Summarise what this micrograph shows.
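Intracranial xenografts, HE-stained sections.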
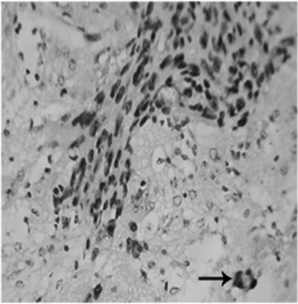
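A dense band of crowded, darkly stained, elongated spindle-shaped nuclei runs obliquely across the field. The cells are aligned in parallel, forming streams. On either side lies pale, finely vacuolated brain tissue. Near the lower edge, a small separate cluster of dark, stained cells sits within the pale tissue, apart from the main stream. Some dark elongated cells also lie singly at the margins of the band, where they thin out into the surrounding parenchyma.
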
